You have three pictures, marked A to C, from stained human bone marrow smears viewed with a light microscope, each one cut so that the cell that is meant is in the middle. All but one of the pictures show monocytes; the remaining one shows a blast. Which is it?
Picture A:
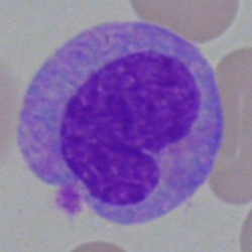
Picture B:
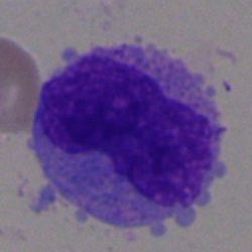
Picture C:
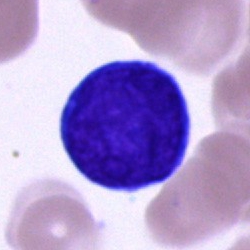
C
